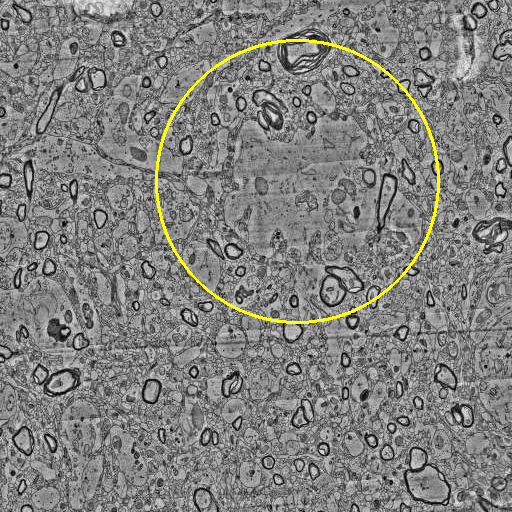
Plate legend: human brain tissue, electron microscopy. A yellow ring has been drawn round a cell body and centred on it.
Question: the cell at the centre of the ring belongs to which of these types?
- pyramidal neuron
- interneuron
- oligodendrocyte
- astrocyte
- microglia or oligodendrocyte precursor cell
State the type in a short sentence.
The cell in the middle of the ring is an astrocyte.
